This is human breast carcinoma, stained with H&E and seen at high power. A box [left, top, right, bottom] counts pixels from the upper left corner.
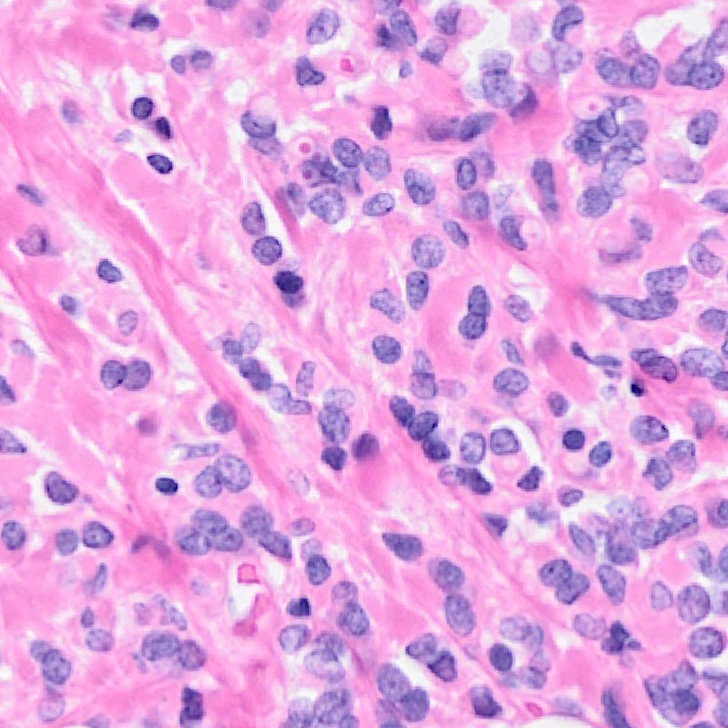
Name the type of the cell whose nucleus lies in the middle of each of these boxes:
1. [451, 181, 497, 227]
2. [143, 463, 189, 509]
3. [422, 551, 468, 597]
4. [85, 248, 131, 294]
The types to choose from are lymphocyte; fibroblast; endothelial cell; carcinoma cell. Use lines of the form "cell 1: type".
cell 1: carcinoma cell
cell 2: lymphocyte
cell 3: carcinoma cell
cell 4: lymphocyte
